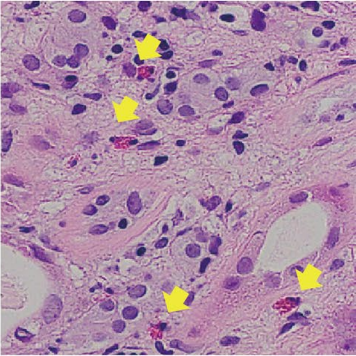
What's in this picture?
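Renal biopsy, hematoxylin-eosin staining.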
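This is kidney interstitium stained pink and purple, with inflammatory cells scattered through loose pink fibrous tissue. Several cells have bright red-orange granular cytoplasm around small dark nuclei, standing out from the rest; these are eosinophils. Around them lie many cells with round or oval dark purple nuclei and little cytoplasm, the mononuclear cells of an interstitial infiltrate. At the right a rounded cross-section with a pale pink lumen is seen within the tissue. The picture is that of an inflammatory infiltrate of the interstitium with eosinophils.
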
